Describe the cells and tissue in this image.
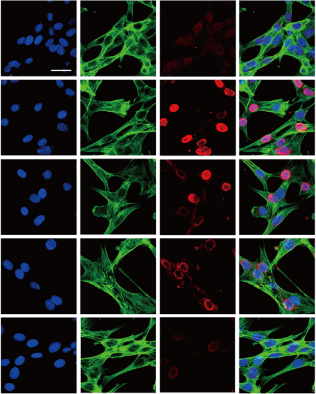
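In several rows the red stain is concentrated in rounded spots that match the nuclei, so the nuclei appear bright red. In other rows the red is weak and scattered. The cells lie close together and their processes overlap.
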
